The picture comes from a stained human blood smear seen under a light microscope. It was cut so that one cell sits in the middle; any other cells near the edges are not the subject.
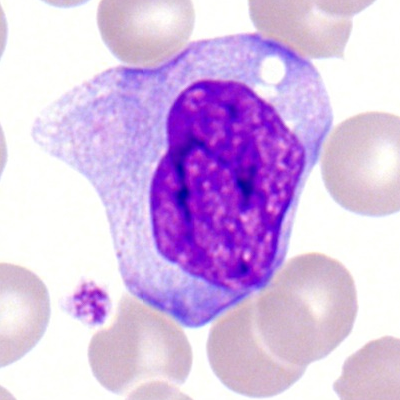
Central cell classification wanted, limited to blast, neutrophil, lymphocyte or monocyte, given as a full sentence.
The cell under consideration, at the middle of the crop, is a monocyte.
